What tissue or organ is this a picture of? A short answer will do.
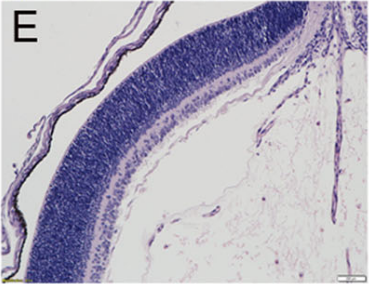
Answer: Retina.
